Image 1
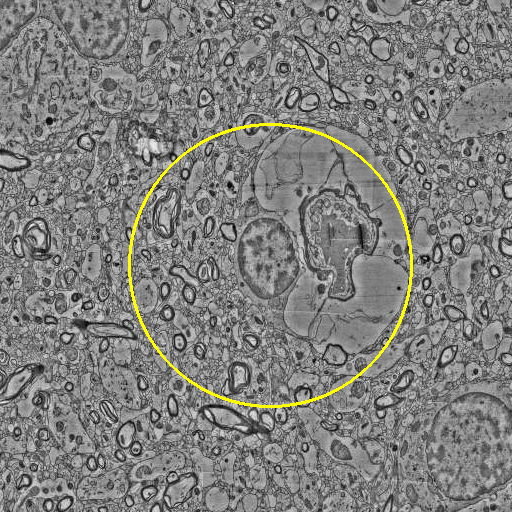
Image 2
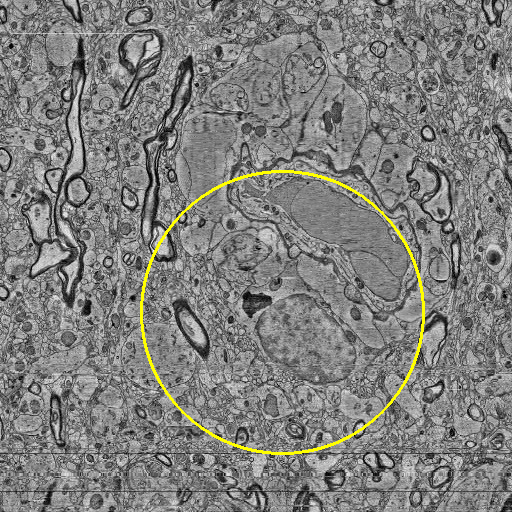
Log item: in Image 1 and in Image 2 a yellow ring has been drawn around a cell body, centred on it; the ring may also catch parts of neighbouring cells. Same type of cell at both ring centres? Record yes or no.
yes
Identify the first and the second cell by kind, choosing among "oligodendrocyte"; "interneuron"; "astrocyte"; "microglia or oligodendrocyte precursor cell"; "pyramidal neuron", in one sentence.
In each picture the ringed cell is an oligodendrocyte.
